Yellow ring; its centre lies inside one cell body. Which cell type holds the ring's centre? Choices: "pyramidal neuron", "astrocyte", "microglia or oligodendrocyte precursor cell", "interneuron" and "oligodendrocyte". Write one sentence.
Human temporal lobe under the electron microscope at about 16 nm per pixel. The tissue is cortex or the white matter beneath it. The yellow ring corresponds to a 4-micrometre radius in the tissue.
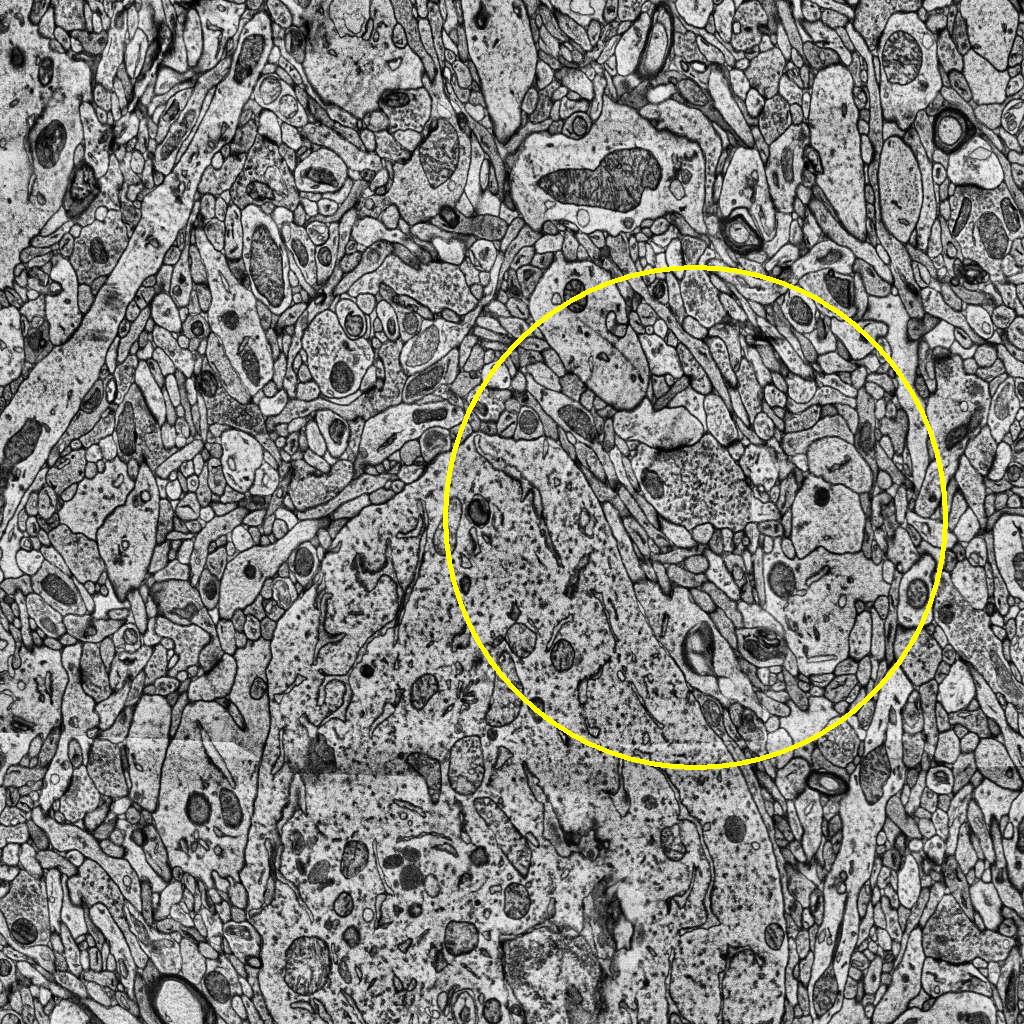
At the centre of the ring sits a microglial cell or oligodendrocyte precursor cell.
